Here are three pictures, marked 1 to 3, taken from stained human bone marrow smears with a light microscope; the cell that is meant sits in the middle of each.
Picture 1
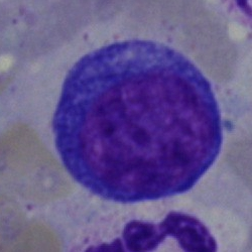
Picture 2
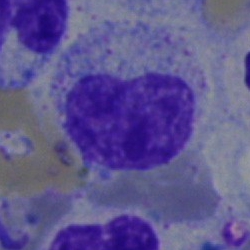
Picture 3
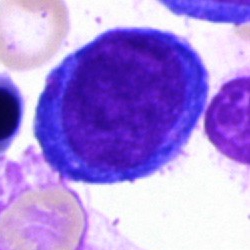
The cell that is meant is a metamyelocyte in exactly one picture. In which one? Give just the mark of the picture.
2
